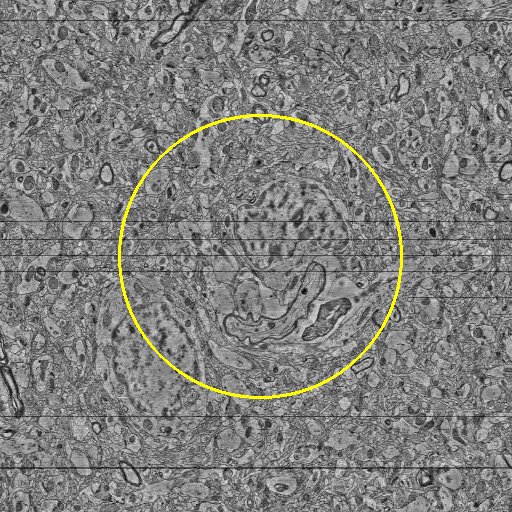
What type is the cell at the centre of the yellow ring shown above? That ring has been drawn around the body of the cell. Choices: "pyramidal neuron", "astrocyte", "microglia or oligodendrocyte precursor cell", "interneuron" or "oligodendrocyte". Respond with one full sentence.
My answer is that a microglial cell or oligodendrocyte precursor cell lies at the centre of the yellow ring above.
